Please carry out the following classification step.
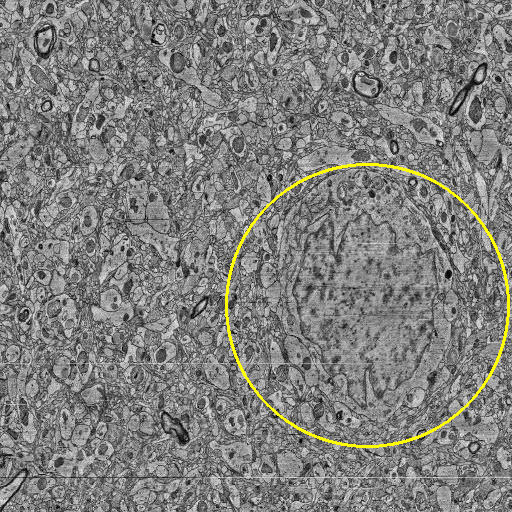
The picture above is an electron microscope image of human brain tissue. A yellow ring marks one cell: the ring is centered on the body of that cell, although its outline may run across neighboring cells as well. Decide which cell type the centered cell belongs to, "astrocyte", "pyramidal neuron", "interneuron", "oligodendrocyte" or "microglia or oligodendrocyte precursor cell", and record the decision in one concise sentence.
The cell centered in the yellow ring is an interneuron.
